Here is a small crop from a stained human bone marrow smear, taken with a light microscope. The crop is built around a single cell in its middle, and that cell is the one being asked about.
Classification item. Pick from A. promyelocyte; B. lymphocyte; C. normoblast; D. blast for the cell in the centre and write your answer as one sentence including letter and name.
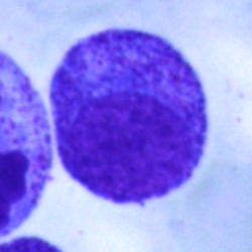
Identification: the cell in the middle is a promyelocyte, matching option A.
